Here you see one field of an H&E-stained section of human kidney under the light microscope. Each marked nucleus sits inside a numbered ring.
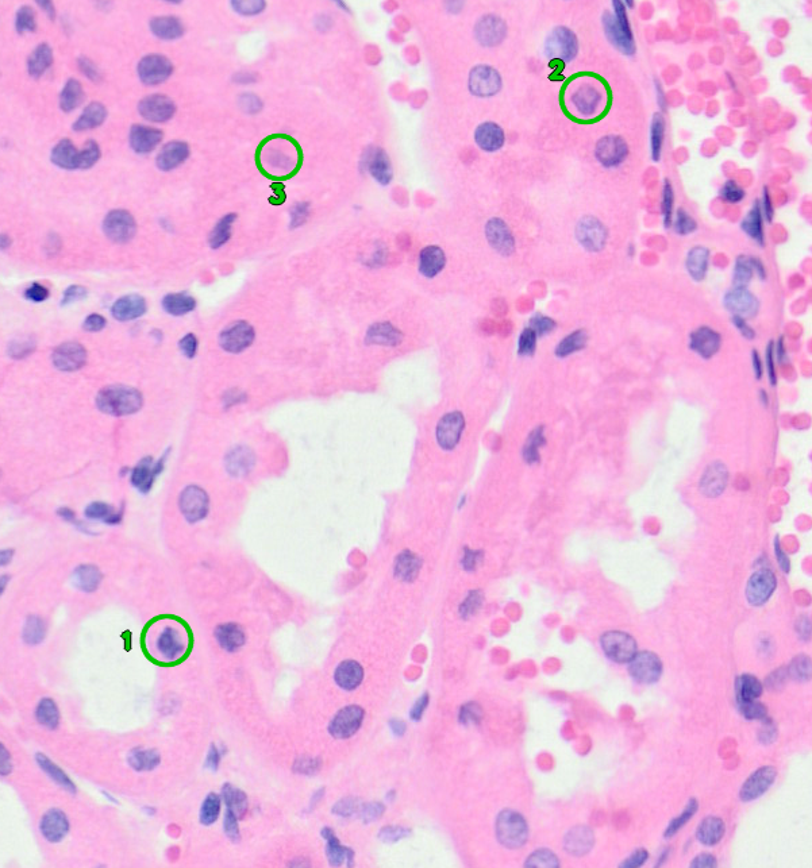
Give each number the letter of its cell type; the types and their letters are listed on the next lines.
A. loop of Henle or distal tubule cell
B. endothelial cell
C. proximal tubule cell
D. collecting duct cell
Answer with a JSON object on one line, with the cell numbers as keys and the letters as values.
{"1": "A", "2": "C", "3": "C"}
